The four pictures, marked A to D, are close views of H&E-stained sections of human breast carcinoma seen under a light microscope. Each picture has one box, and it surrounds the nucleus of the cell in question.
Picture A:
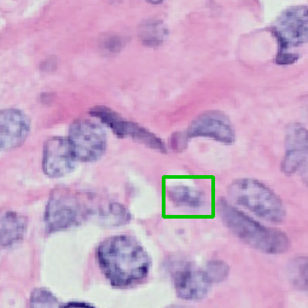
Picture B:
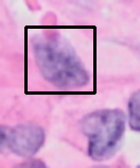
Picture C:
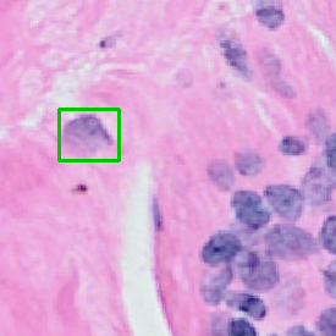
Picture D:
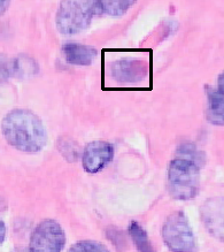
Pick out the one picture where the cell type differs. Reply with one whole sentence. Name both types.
Picture C is the odd one out: it shows a fibroblast, while the others show endothelial cells.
